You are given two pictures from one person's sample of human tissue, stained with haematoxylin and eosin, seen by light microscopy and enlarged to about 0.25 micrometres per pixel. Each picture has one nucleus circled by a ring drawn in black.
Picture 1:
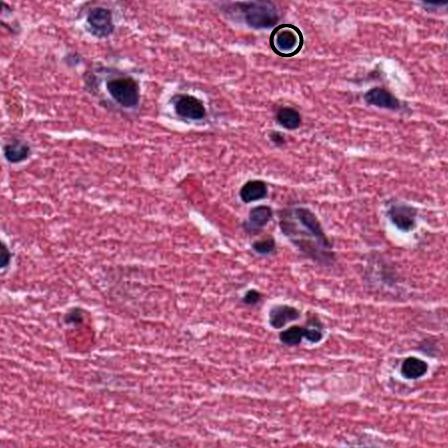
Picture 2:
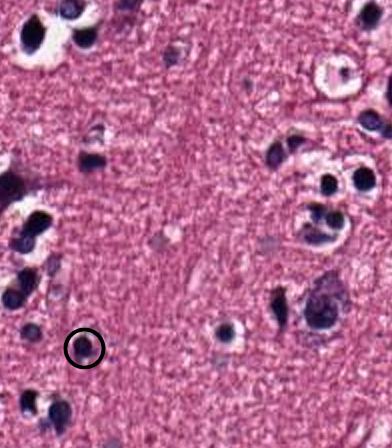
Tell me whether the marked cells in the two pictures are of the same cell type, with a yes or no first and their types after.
Yes, both are oligodendrocytes.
